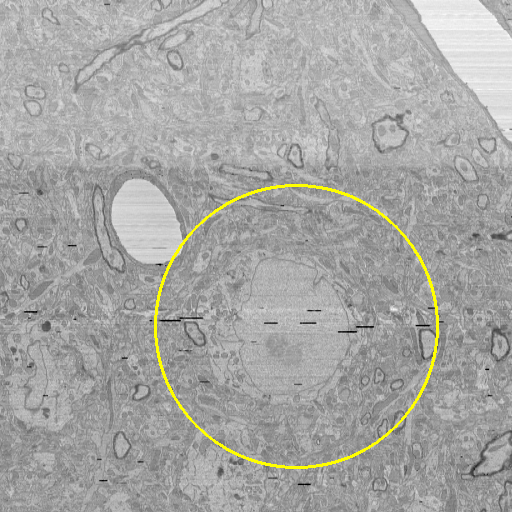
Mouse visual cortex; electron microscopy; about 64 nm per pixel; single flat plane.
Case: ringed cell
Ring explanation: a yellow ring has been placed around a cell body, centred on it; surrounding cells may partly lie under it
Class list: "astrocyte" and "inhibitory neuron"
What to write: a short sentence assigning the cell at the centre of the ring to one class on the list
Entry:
The cell at the ring's centre is an inhibitory neuron.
